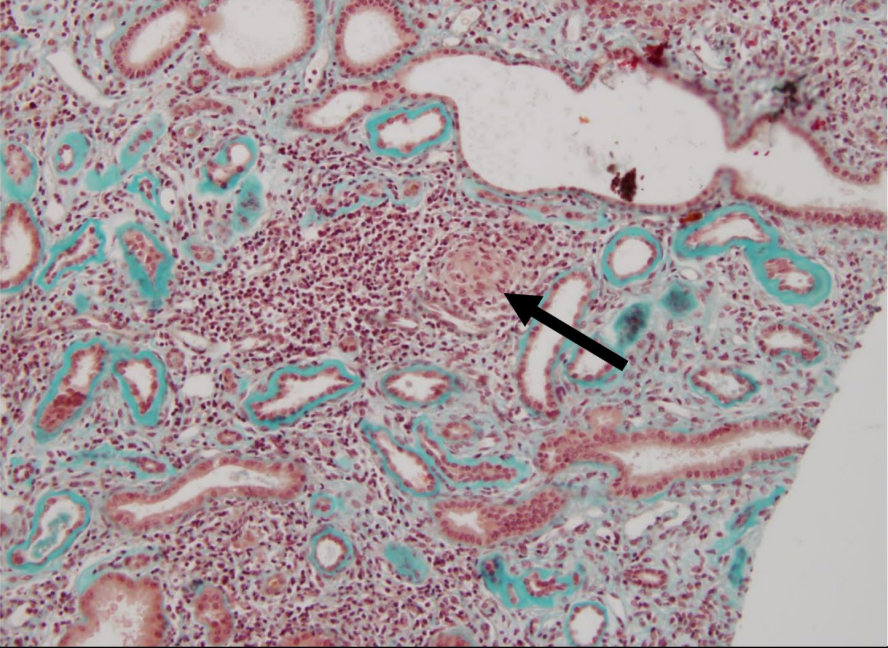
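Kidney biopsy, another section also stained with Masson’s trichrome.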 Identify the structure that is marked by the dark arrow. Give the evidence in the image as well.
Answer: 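The arrow points to a rounded pink cluster of cells with abundant cytoplasm. The cluster sits within dense inflammatory infiltrate. On this evidence: granulomatous reaction with giant cells.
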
